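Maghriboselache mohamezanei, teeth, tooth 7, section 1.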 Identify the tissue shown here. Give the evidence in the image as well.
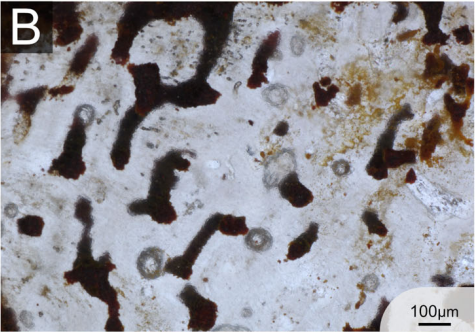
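Dark, branched and T-shaped infilled canals cross a pale mineralized matrix. Small round ring-like profiles lie between the dark canals. That points to this answer: trabecular dentine.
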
